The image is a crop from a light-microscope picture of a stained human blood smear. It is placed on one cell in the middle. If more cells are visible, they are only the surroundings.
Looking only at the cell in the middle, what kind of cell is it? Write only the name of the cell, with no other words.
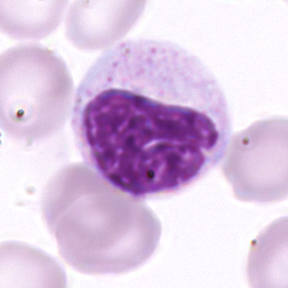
band neutrophil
